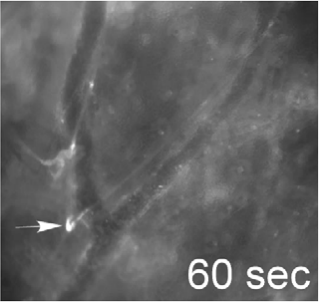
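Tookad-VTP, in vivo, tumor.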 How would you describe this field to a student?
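The forming clot is a small, intensely bright spot against the vessel wall where a side branch joins a larger vessel. A second bright, irregular patch lies along a vessel higher up on the left.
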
